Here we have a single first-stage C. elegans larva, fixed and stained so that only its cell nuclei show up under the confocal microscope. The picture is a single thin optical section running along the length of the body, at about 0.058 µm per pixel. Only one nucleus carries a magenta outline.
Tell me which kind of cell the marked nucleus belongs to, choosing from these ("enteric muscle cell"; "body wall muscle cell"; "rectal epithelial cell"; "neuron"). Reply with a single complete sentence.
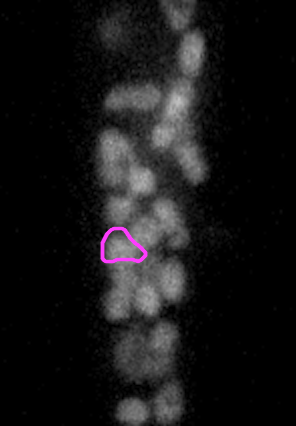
The marked cell is an enteric muscle cell.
